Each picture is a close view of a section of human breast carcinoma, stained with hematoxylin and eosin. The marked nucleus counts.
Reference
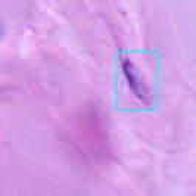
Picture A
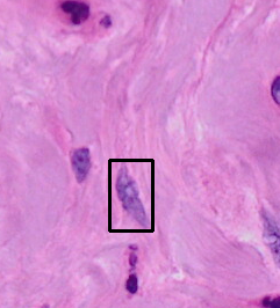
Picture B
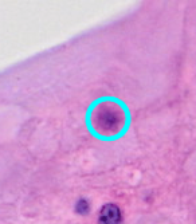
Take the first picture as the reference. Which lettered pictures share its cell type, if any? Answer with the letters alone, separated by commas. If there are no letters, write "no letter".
A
